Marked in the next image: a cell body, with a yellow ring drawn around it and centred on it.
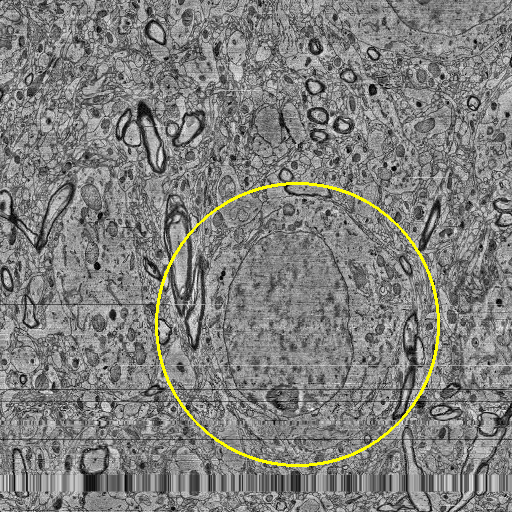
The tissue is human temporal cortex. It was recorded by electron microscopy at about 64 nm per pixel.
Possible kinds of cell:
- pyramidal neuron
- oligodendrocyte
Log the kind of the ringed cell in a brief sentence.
The ringed cell body is that of a pyramidal neuron.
